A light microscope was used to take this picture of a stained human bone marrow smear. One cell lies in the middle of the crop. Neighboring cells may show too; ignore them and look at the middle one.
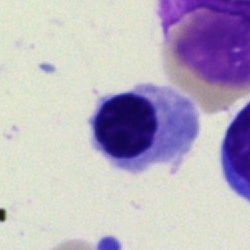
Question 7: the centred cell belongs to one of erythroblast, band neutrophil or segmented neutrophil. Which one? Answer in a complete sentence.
Answering briefly, the cell in the middle is an erythroblast.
